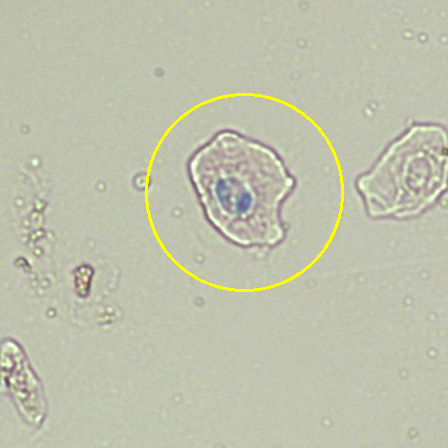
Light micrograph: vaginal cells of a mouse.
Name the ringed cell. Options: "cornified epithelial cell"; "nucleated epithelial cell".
nucleated epithelial cell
